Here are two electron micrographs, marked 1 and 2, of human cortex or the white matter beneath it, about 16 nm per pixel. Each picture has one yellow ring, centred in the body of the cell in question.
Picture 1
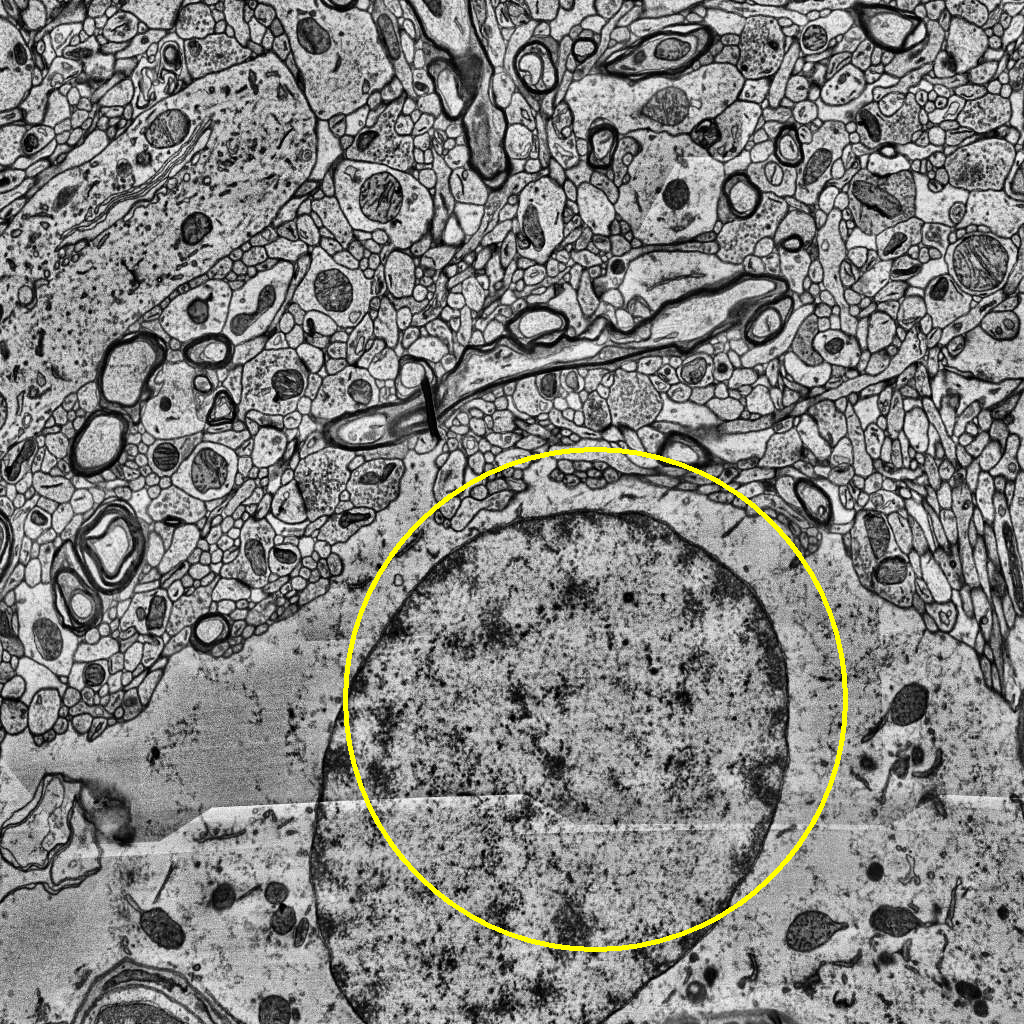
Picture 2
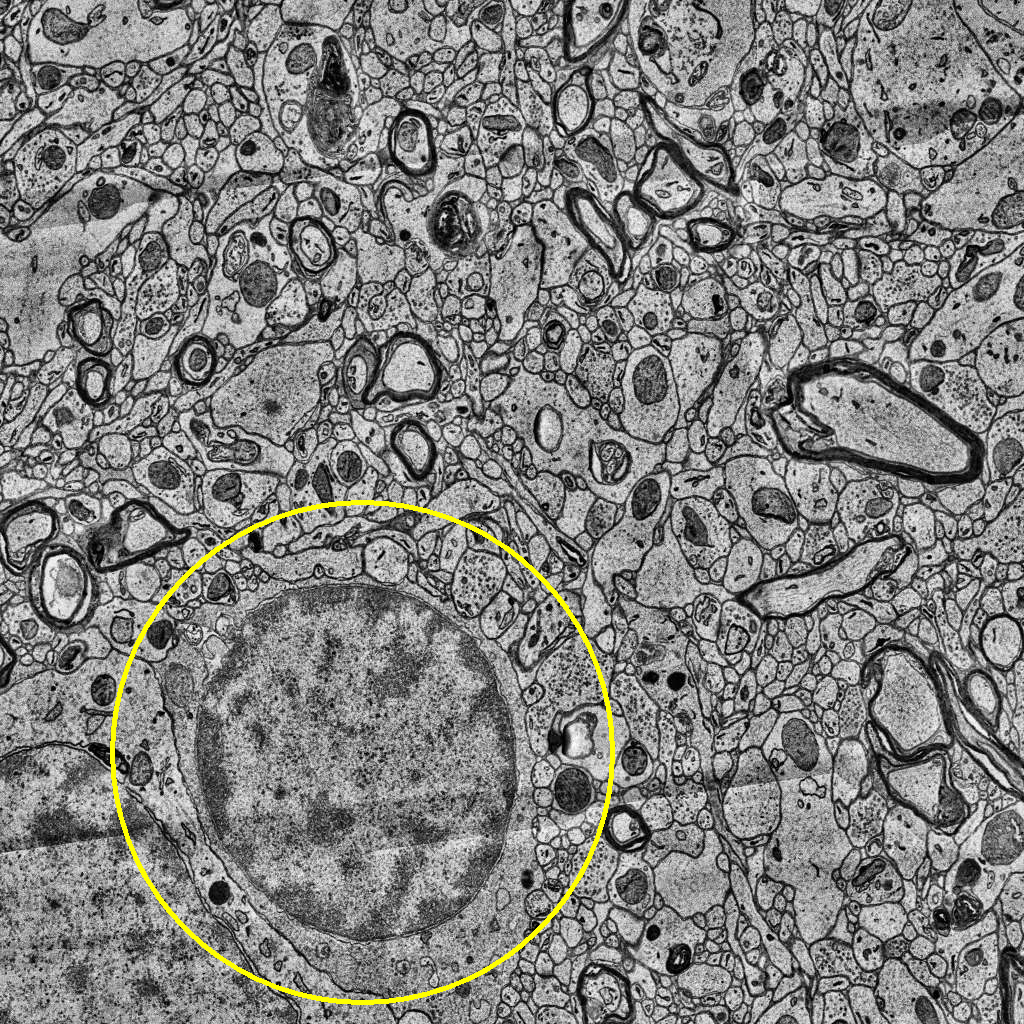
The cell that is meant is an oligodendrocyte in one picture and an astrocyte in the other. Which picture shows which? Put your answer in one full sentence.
Picture 2 shows an oligodendrocyte, while picture 1 shows an astrocyte.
